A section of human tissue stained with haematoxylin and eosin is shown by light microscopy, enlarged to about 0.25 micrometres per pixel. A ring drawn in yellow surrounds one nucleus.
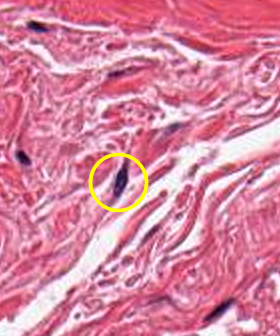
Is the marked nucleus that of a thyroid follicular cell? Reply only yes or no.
no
